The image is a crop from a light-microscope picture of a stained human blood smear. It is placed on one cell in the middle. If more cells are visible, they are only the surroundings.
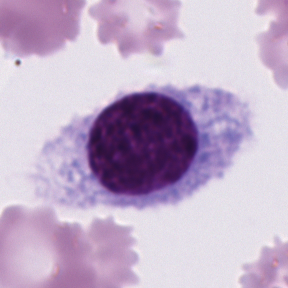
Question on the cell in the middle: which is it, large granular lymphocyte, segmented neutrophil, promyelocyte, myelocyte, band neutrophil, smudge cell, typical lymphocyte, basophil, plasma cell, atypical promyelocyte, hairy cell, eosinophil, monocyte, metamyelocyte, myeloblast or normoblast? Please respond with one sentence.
The cell at the middle of the crop is recognized as a hairy cell.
